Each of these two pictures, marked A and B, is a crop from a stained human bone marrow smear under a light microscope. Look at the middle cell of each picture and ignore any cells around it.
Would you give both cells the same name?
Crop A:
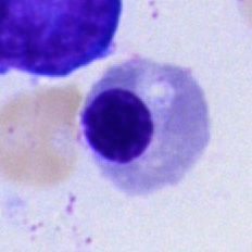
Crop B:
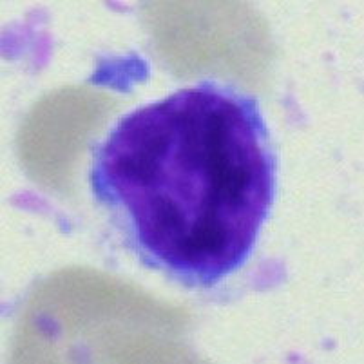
no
